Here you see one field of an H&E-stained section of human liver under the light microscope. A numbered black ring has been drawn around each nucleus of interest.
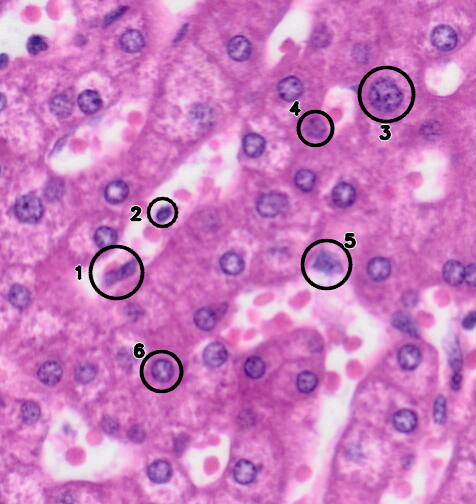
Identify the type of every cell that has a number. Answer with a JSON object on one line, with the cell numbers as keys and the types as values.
{"1": "Kupffer cell", "2": "lymphocyte", "3": "hepatocyte", "4": "hepatocyte", "5": "endothelial cell", "6": "hepatocyte"}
